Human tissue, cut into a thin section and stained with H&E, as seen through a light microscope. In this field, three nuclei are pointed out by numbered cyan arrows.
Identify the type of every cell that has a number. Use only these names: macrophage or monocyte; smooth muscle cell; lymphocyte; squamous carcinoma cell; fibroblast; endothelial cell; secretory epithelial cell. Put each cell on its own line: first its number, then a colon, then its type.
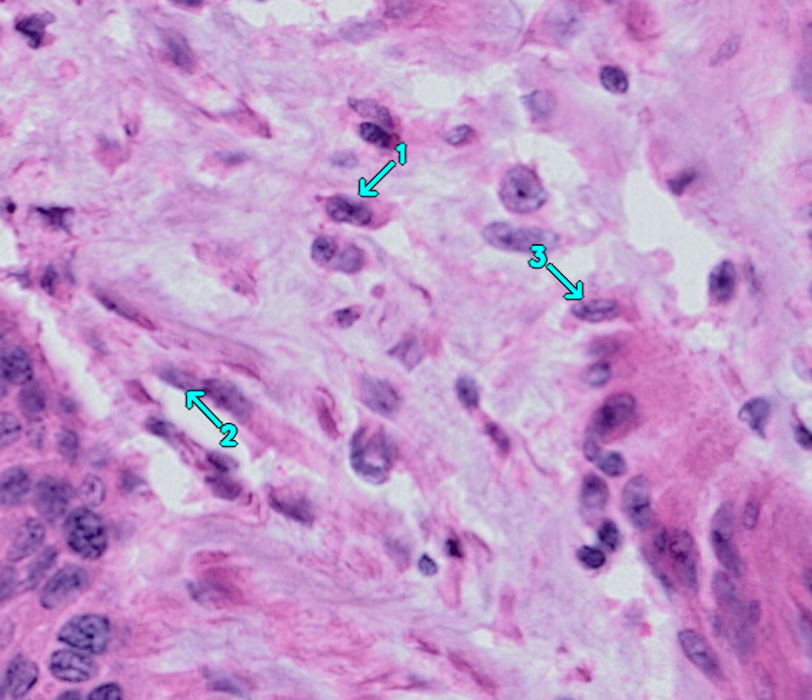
1: macrophage or monocyte
2: fibroblast
3: macrophage or monocyte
